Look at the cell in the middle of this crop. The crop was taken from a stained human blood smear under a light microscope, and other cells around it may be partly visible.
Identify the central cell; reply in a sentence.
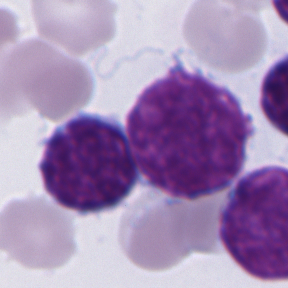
The cell in the middle of the field of view is a myeloblast.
